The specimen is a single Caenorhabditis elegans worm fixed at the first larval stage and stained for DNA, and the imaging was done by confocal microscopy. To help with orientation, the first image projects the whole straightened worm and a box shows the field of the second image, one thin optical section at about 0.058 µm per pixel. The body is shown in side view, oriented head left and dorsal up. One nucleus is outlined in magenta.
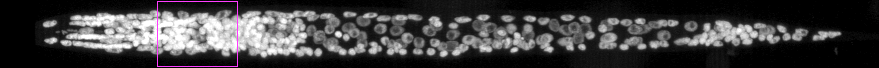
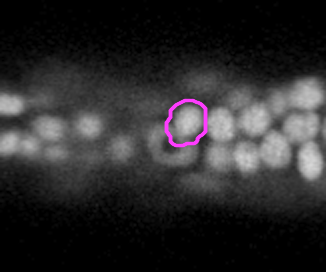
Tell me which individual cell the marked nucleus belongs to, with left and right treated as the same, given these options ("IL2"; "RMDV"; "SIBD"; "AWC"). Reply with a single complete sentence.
The marked nucleus is that of RMDV, a neuron.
